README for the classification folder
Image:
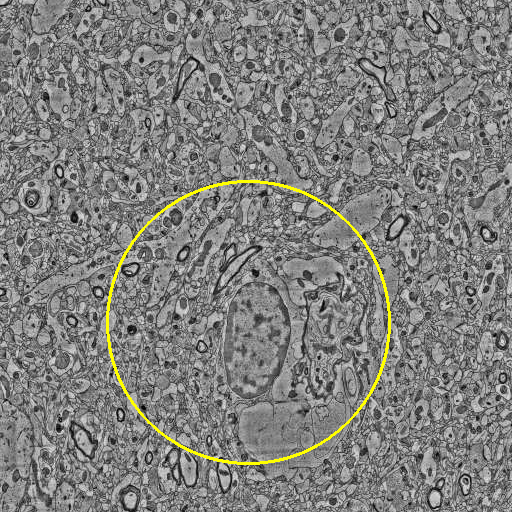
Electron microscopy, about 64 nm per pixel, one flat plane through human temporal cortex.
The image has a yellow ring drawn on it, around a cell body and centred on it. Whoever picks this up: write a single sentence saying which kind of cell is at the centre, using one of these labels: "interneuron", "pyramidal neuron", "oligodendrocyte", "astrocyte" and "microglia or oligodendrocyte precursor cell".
This cell body is that of a microglial cell or oligodendrocyte precursor cell.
